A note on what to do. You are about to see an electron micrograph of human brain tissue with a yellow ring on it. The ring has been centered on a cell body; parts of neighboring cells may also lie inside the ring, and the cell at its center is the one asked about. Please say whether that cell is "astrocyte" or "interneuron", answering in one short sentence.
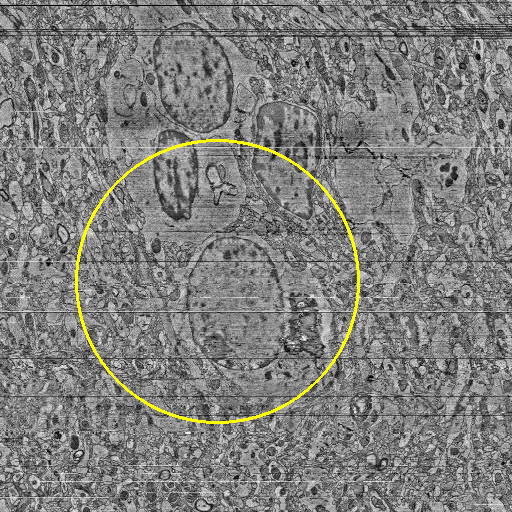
The yellow ring sits on an astrocyte.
